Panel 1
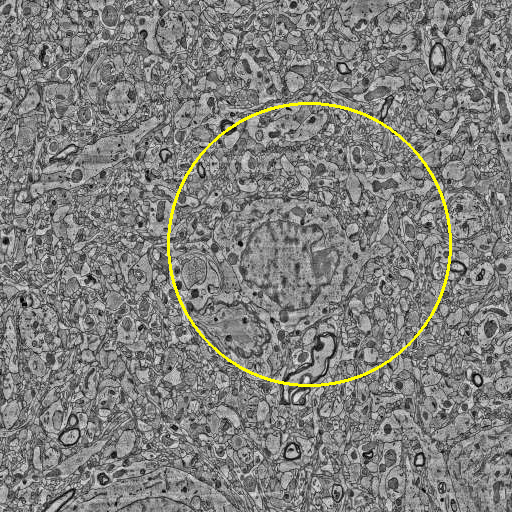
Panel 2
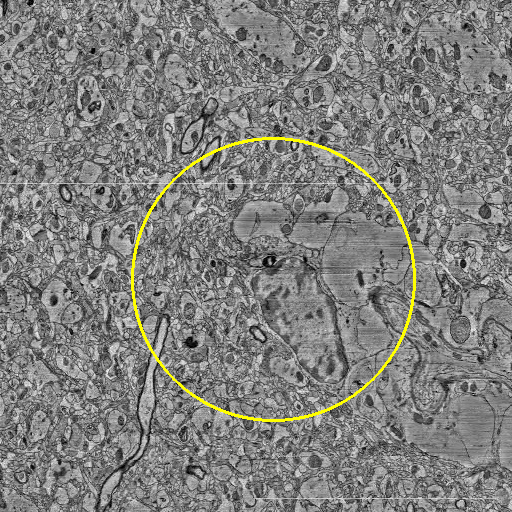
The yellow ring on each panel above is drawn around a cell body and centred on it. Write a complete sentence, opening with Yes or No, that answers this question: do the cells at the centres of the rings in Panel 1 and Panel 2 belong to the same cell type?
No, the two cells belong to two cell types.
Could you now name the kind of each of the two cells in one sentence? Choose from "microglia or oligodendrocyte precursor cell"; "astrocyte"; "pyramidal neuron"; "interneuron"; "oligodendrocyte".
The first ring encloses an interneuron; the second ring encloses a microglial cell or oligodendrocyte precursor cell.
